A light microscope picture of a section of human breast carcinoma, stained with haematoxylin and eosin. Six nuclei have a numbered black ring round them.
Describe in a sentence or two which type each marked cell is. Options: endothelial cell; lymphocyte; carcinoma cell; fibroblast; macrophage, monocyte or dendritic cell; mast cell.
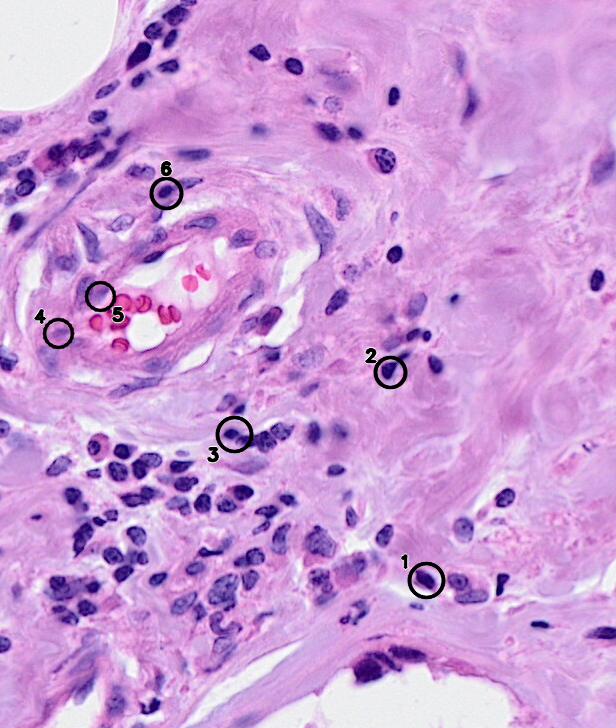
Cells 1, 2, 3 and 6 are lymphocytes. Cells 4 and 5 are endothelial cells.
